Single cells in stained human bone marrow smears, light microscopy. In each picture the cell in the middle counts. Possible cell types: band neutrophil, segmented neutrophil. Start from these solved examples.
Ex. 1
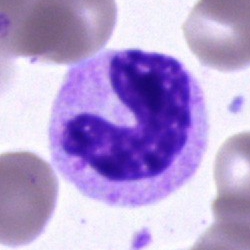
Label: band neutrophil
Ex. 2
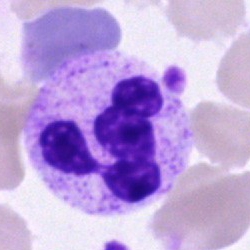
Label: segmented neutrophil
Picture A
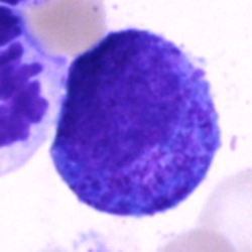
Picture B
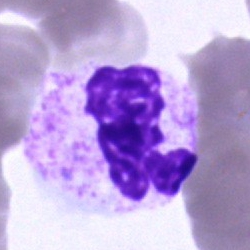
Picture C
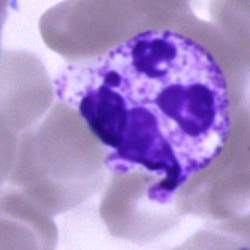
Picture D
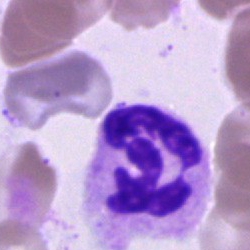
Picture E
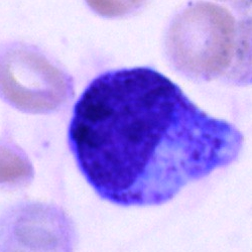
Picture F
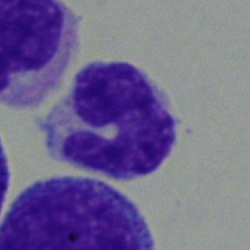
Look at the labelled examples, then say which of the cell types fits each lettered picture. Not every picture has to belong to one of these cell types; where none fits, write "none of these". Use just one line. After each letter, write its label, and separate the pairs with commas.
A none of these, B segmented neutrophil, C segmented neutrophil, D segmented neutrophil, E none of these, F band neutrophil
